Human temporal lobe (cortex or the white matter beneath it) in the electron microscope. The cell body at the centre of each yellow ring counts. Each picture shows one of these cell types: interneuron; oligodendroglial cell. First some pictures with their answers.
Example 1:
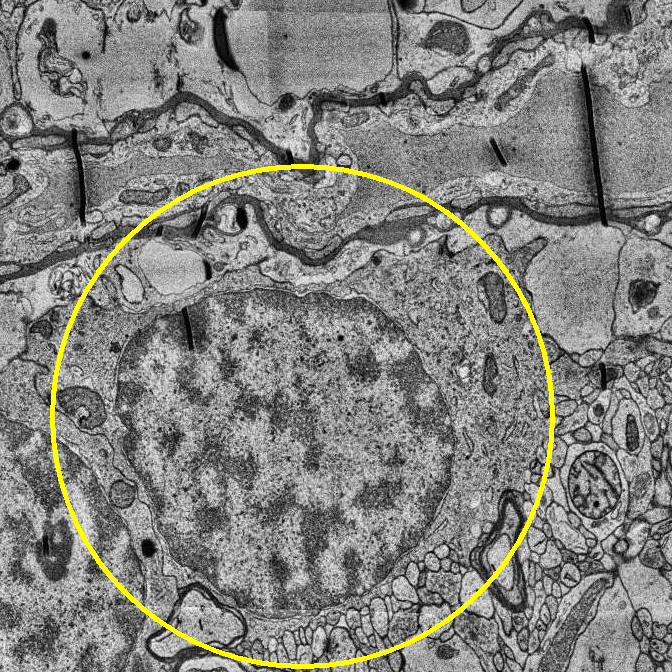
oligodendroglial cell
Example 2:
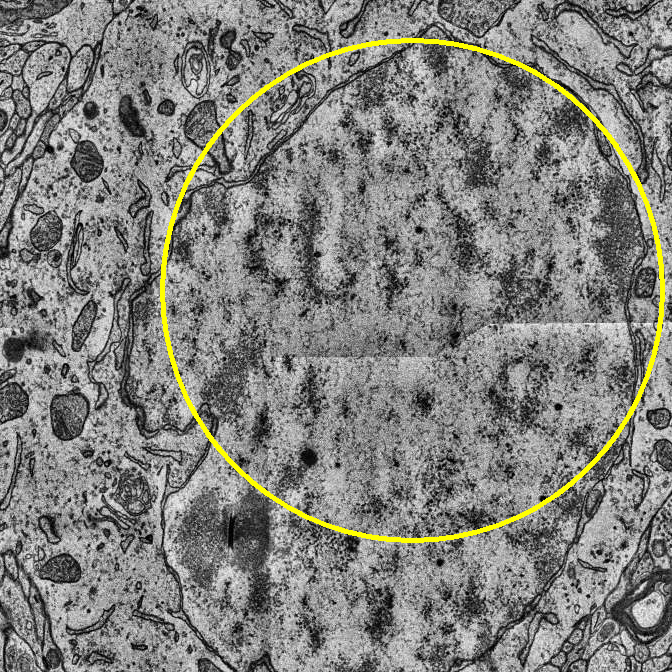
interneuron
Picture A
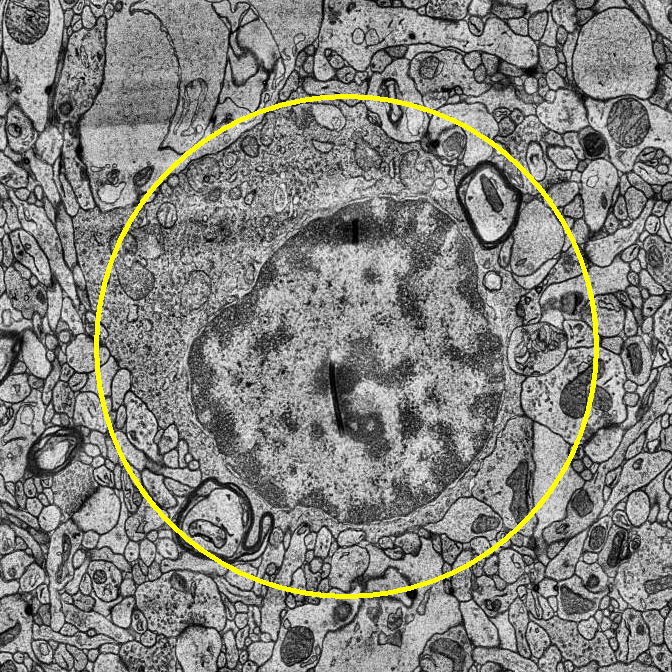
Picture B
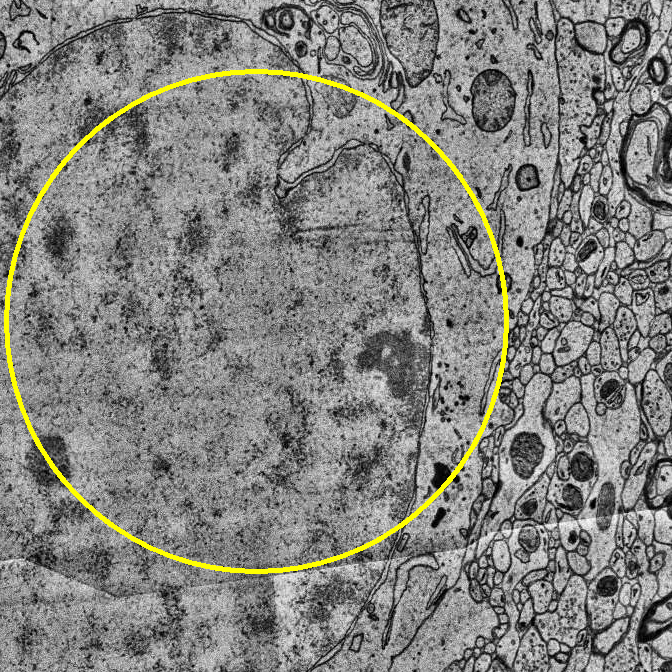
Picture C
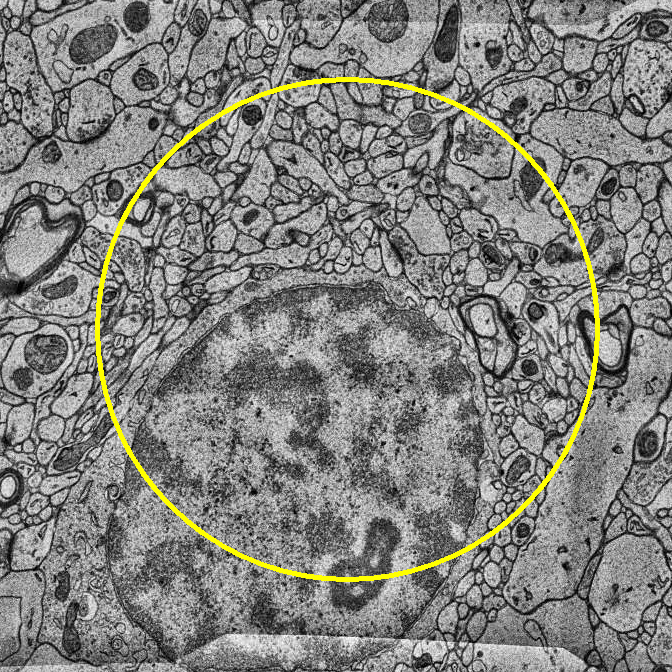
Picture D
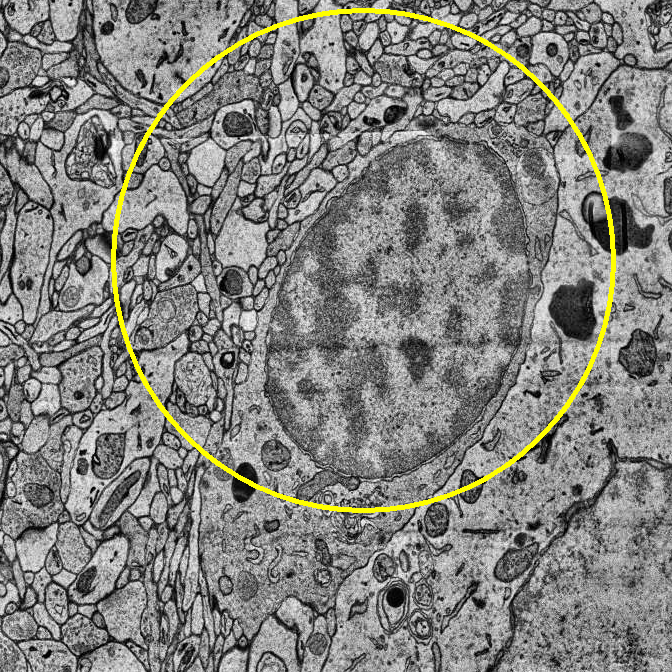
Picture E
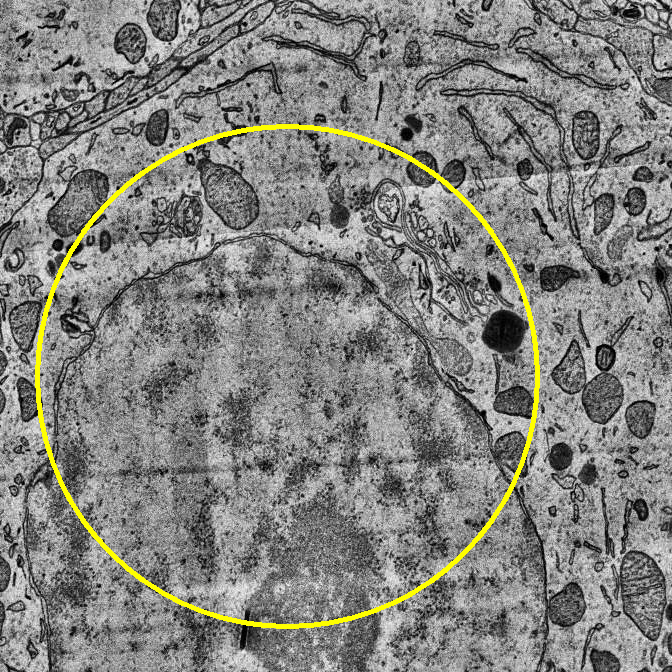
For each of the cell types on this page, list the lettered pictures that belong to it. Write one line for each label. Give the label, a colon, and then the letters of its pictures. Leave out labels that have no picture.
interneuron: B, E
oligodendroglial cell: A, C, D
